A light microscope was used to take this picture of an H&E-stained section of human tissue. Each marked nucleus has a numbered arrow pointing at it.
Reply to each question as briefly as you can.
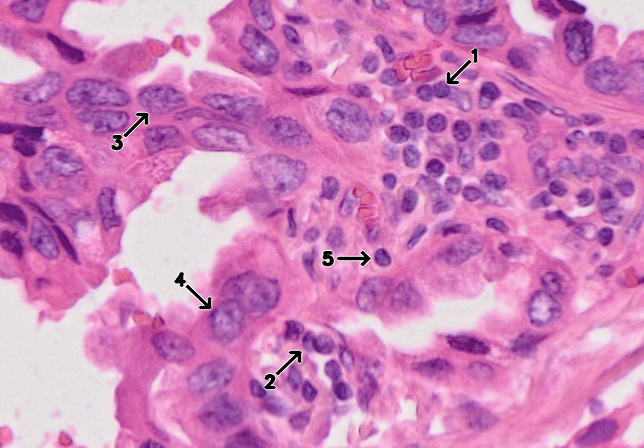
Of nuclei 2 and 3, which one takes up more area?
3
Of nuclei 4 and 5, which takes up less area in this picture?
5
